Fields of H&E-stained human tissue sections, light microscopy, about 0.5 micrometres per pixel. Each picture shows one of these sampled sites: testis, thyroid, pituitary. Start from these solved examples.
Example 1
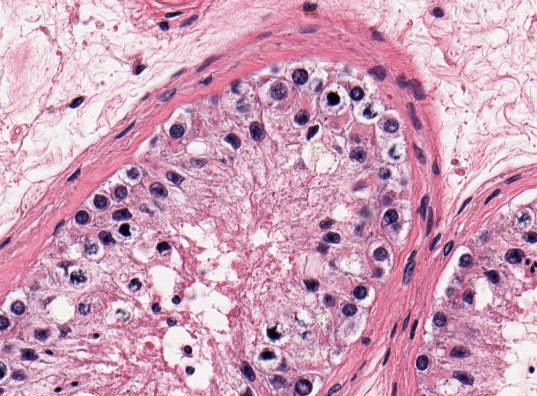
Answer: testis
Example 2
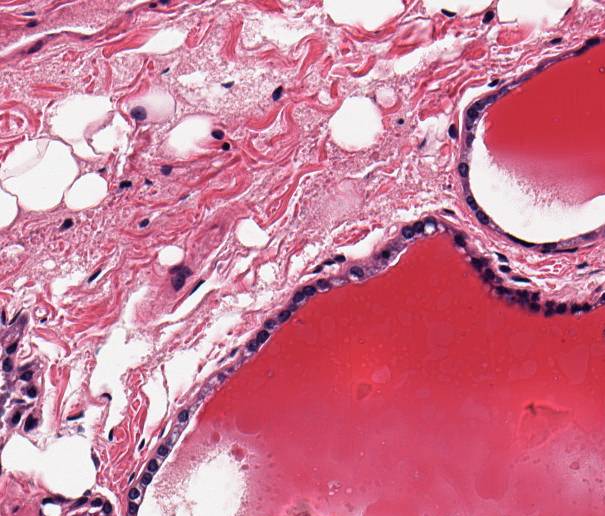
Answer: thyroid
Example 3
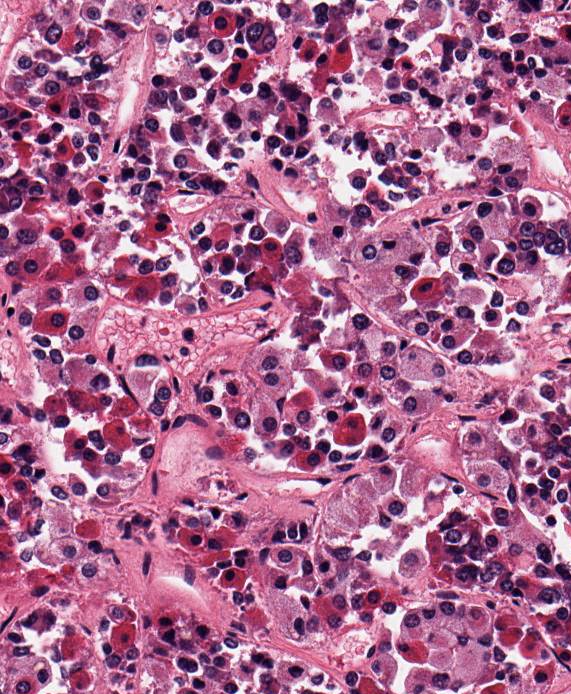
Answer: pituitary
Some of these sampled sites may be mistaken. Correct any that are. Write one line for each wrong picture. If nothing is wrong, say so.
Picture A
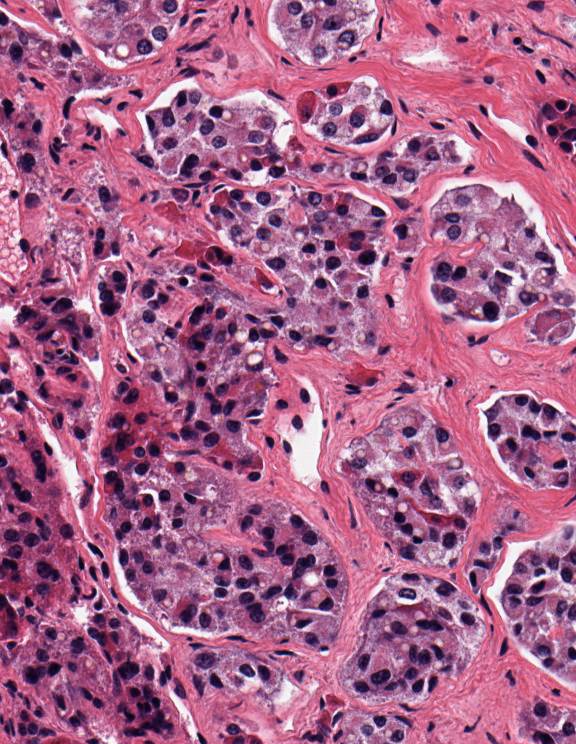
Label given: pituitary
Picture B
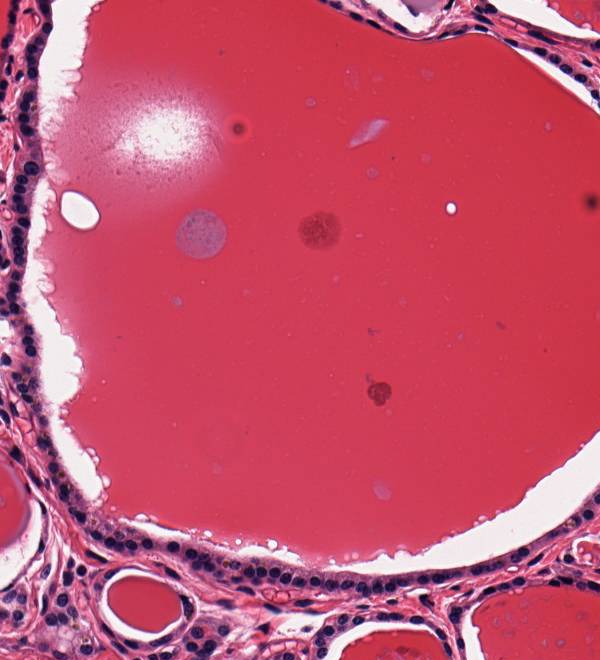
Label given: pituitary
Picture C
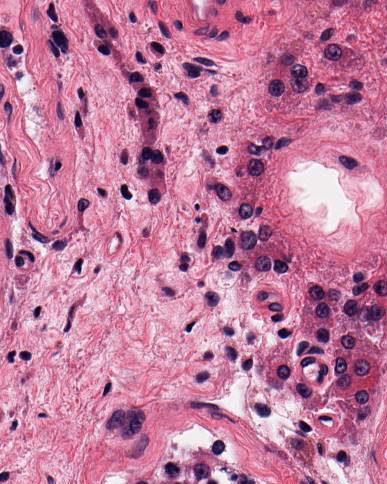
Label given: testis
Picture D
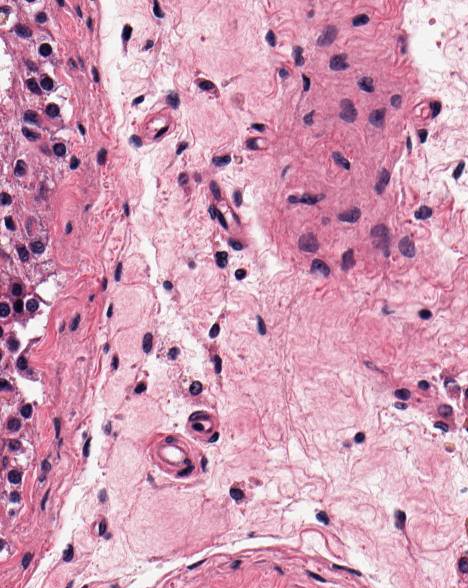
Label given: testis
B: thyroid, not pituitary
